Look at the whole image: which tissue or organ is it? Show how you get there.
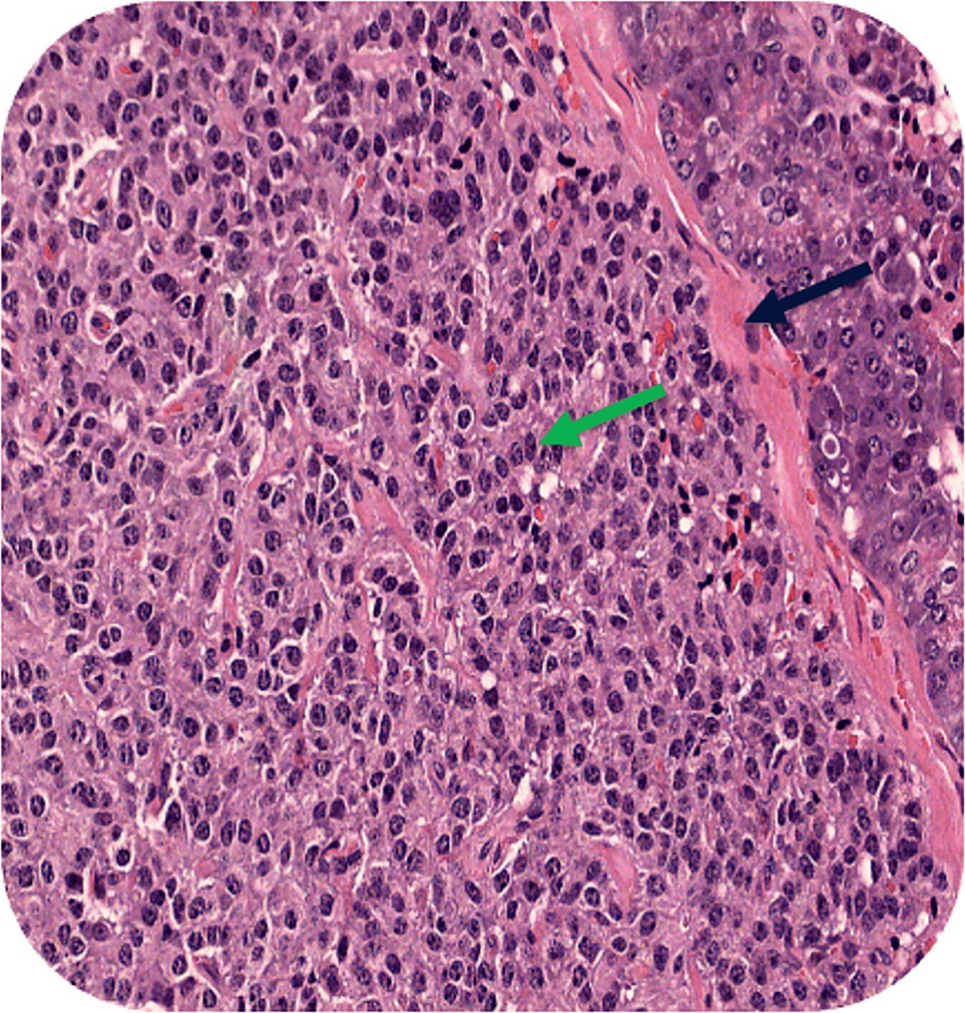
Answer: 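Well-differentiated neuroendocrine tumor. Sheets and cords of uniform cells with round to oval nuclei. Delicate vessels run between the cell groups.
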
